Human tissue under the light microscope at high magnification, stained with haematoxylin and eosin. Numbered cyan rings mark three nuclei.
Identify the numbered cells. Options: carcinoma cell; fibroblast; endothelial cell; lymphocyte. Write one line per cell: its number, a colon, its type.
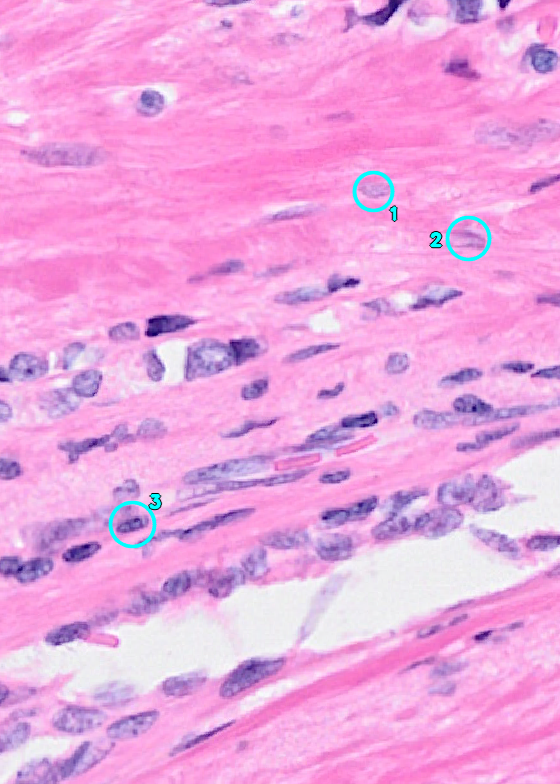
1: fibroblast
2: fibroblast
3: endothelial cell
